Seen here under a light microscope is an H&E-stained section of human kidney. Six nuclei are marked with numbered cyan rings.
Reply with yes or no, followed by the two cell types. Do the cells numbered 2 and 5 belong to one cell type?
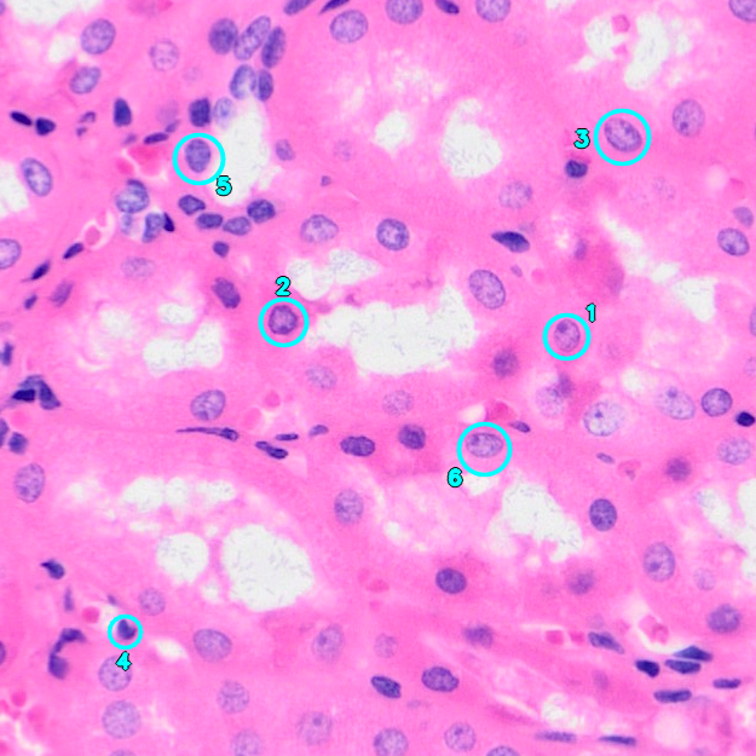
No, cell 2 is a proximal tubule cell and cell 5 is a collecting duct cell.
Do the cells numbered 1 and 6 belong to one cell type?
Yes, both are proximal tubule cells.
